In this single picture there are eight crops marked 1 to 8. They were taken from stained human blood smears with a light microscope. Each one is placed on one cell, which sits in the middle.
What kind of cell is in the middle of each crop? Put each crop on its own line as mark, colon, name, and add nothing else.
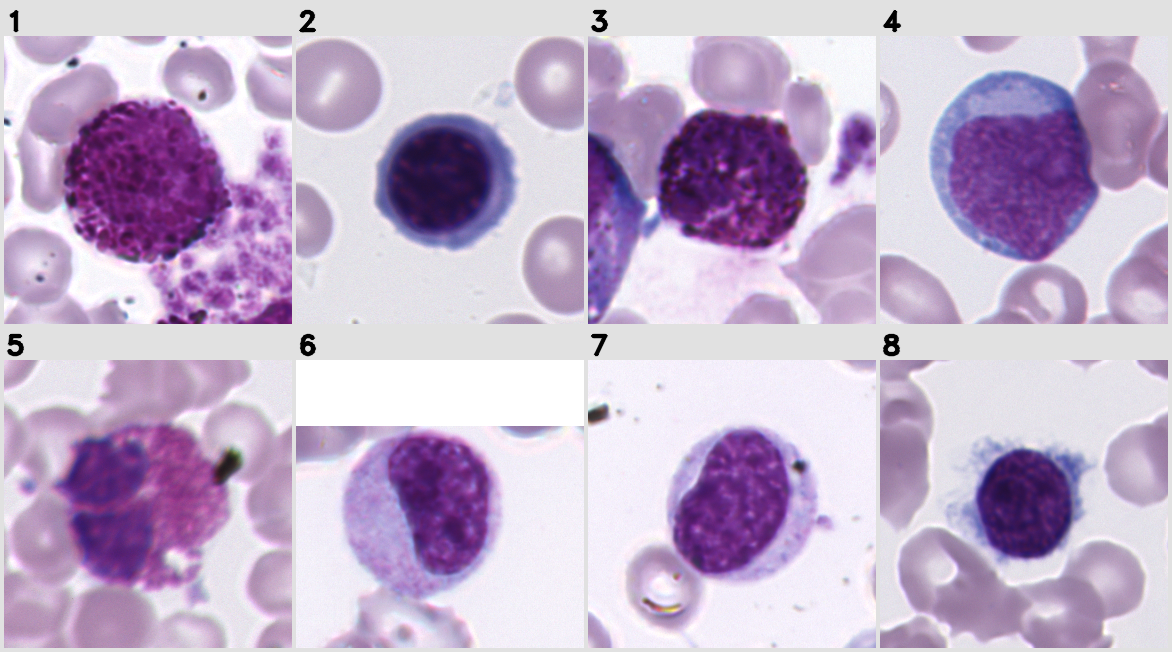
1: basophil
2: erythroblast
3: basophil
4: myeloblast
5: eosinophil
6: metamyelocyte
7: metamyelocyte
8: hairy cell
